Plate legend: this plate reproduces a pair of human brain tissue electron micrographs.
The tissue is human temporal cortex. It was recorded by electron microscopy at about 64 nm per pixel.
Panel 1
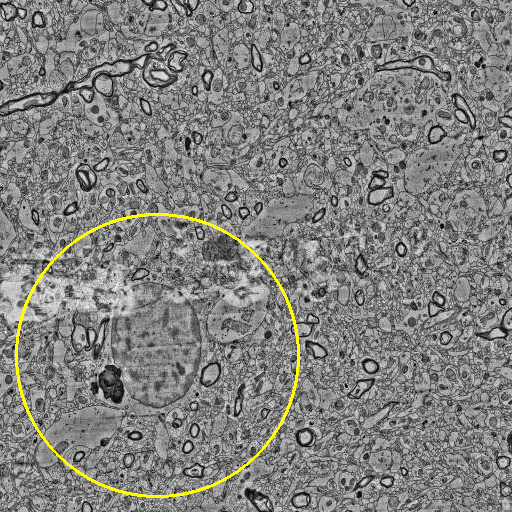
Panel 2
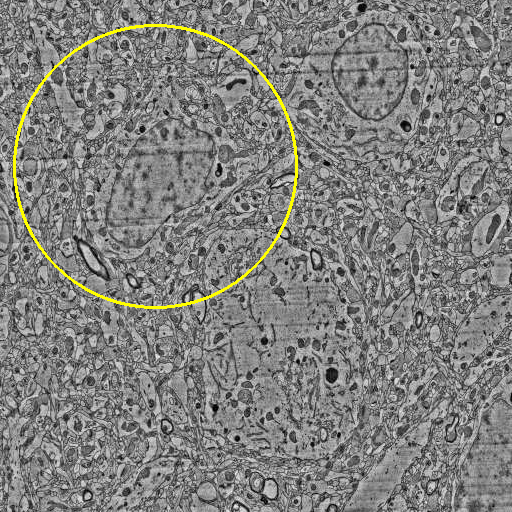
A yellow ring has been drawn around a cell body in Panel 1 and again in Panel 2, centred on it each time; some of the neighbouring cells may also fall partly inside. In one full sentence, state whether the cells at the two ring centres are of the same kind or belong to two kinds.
The ring-centred cells of Panel 1 and Panel 2 belong to two kinds.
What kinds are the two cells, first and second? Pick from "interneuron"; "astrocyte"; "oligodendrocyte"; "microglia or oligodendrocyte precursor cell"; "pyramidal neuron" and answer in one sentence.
The second picture holds an interneuron in its ring, and the first holds an oligodendrocyte.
